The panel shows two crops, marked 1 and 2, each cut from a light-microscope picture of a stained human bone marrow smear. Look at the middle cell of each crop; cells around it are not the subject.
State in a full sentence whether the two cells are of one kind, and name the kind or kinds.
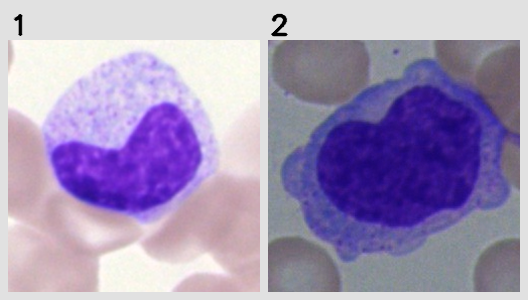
No, crop 1 represents a metamyelocyte, and crop 2 represents a monocyte.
